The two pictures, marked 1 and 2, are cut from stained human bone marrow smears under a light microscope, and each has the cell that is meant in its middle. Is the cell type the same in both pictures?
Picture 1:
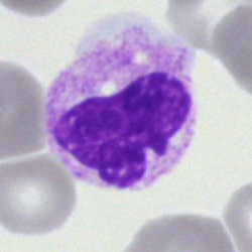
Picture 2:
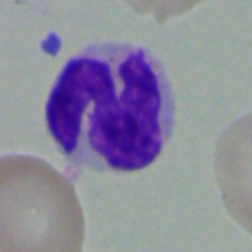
yes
